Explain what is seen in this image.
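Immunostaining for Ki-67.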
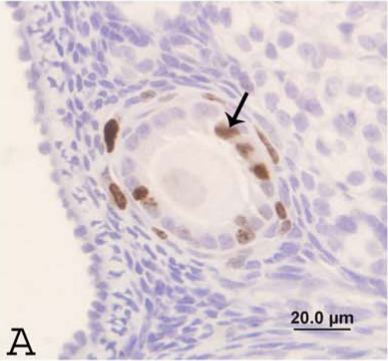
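A small ovarian follicle sits in stroma of densely packed, spindle-shaped cells with blue elongated nuclei. At its centre lies a large round oocyte with pale cytoplasm, enclosed by a clear, glassy zona. Around it runs a single ring of cuboidal follicle cells; several of their nuclei are stained deep brown, as the arrow shows, while the rest are blue. Flattened cells wrap the outside of the ring. There is no cavity within the follicle. The single layer of cuboidal cells around the oocyte marks this as a primary follicle, with some of its surrounding cells in cycle.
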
